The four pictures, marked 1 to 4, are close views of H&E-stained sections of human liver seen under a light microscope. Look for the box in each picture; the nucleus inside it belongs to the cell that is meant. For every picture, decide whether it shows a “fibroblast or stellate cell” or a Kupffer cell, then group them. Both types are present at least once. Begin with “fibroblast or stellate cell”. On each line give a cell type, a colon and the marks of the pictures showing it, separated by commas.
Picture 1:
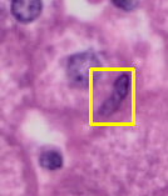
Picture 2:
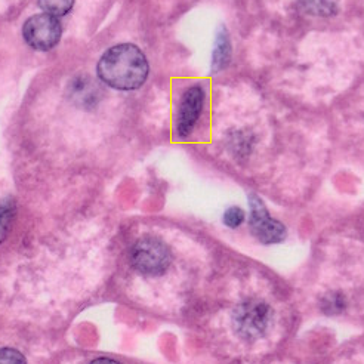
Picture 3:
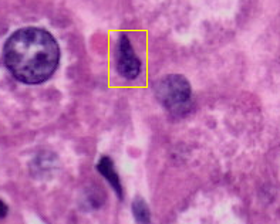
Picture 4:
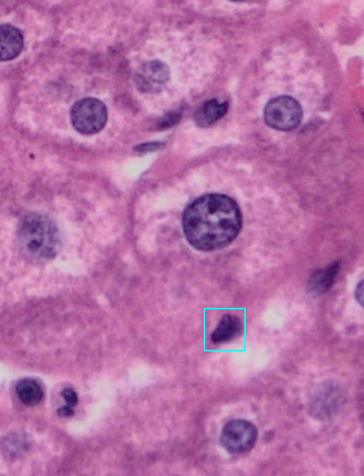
fibroblast or stellate cell: 2, 3, 4
Kupffer cell: 1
